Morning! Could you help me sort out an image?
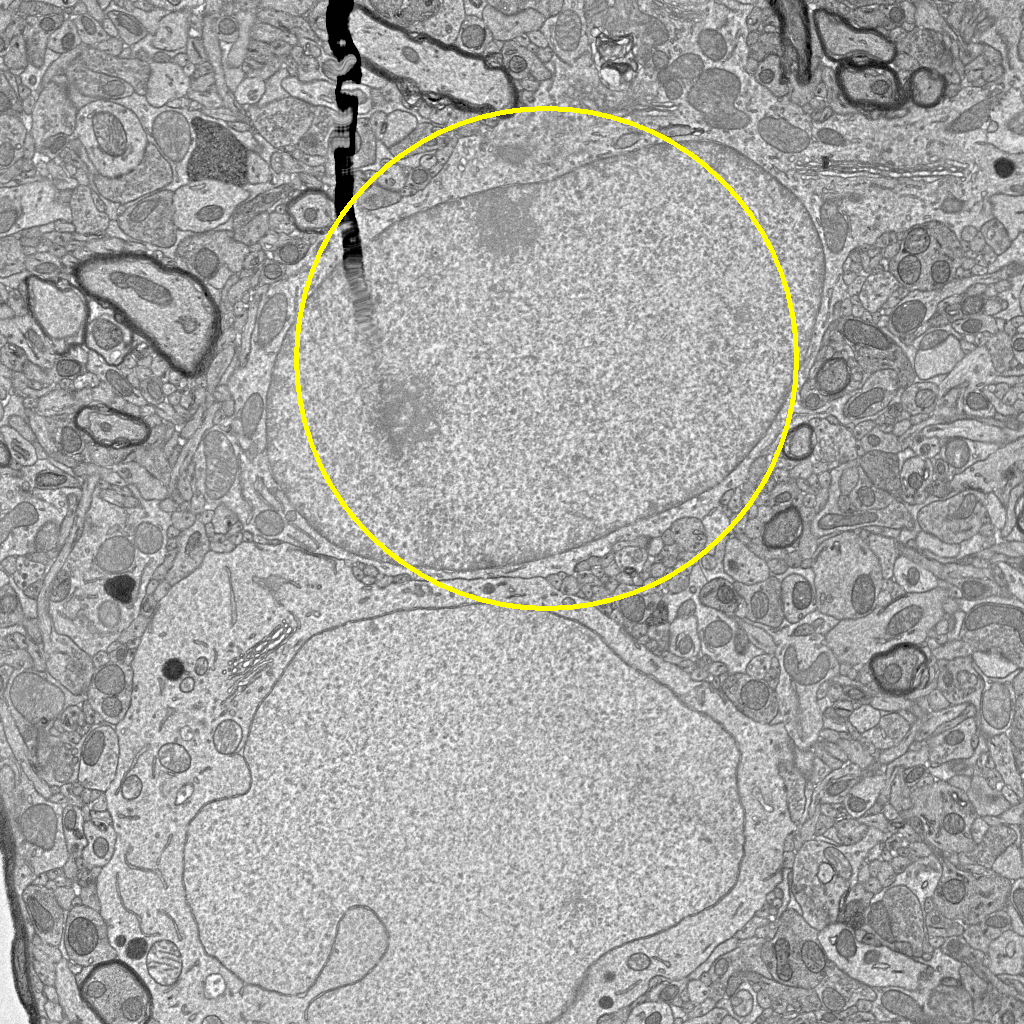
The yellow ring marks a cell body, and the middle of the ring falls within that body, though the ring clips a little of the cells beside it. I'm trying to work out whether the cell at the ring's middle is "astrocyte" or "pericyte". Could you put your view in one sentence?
The cell body at the ring's middle is that of an astrocyte.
